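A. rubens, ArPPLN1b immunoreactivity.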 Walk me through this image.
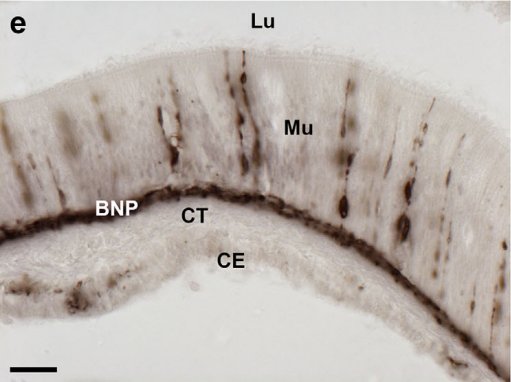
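The stained cells are elongated and vertically oriented, spanning much of the epithelial height, some with swellings along their length. At the base of the mucosa a thick, continuous dark brown band forms the basiepithelial nerve plexus. Below it lies a pale layer of collagenous tissue and a thin coelomic epithelium. The lumen borders the free surface of the mucosa at the top.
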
